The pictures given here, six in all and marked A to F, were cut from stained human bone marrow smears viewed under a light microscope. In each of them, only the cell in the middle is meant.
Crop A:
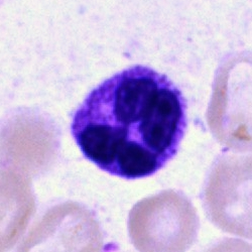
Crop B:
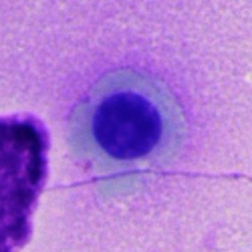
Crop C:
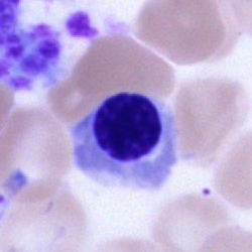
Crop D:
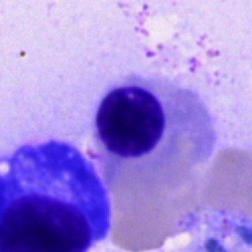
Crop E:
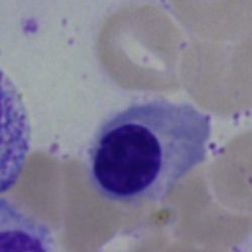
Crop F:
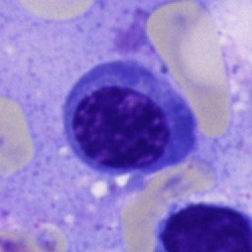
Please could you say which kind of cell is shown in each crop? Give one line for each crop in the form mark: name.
A: segmented neutrophil
B: erythroblast
C: erythroblast
D: erythroblast
E: erythroblast
F: erythroblast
